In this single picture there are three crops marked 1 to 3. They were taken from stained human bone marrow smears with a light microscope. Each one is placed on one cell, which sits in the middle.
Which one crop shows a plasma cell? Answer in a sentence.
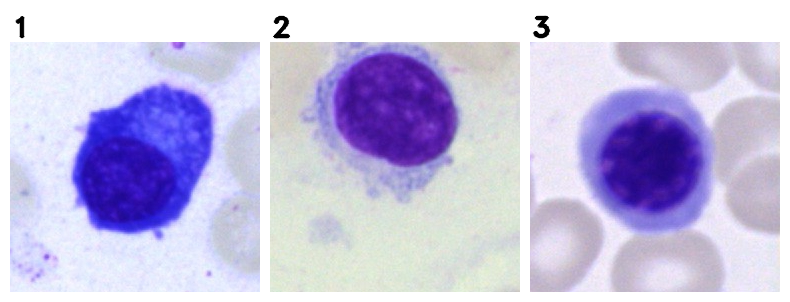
On review of the set, crop 1 is the one showing a plasma cell.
